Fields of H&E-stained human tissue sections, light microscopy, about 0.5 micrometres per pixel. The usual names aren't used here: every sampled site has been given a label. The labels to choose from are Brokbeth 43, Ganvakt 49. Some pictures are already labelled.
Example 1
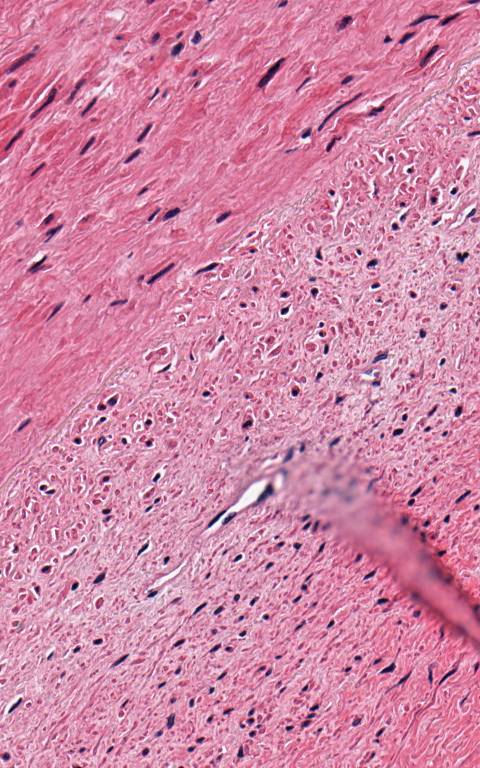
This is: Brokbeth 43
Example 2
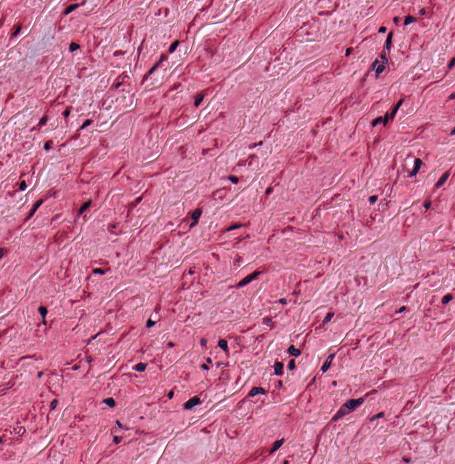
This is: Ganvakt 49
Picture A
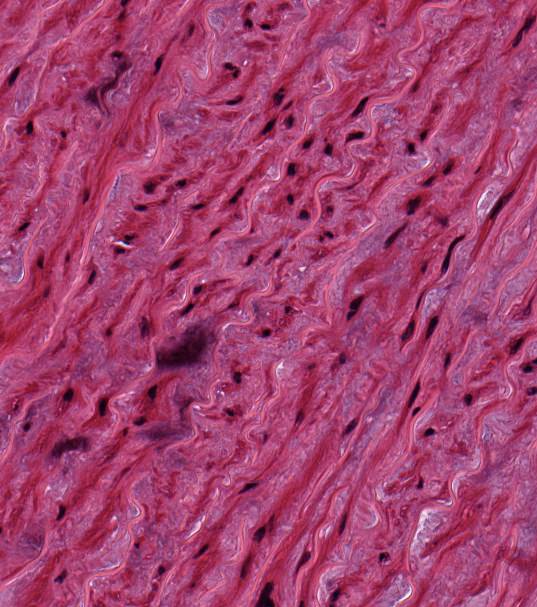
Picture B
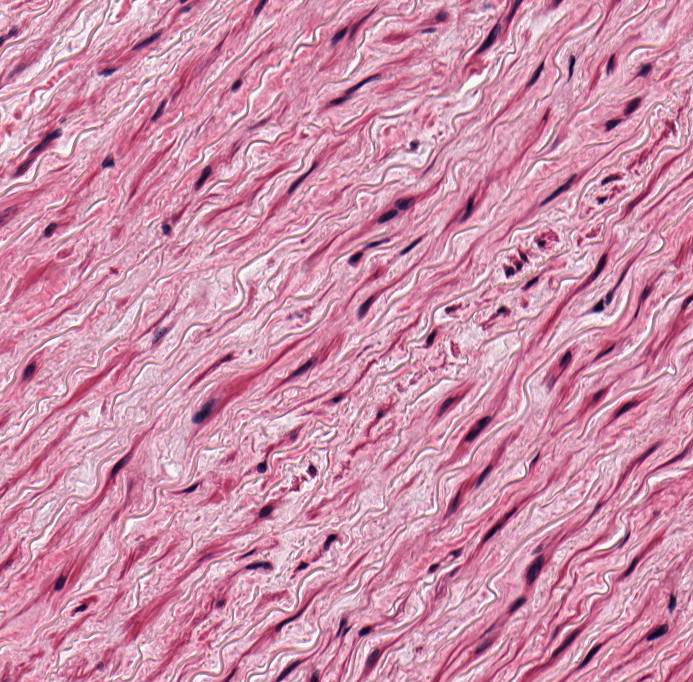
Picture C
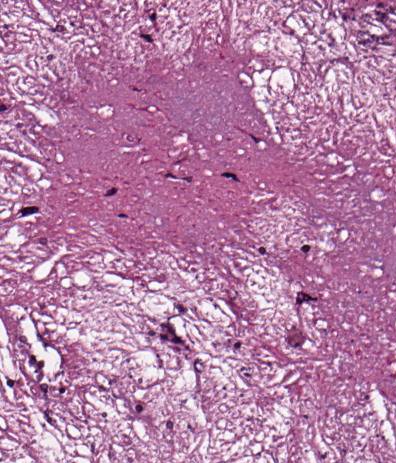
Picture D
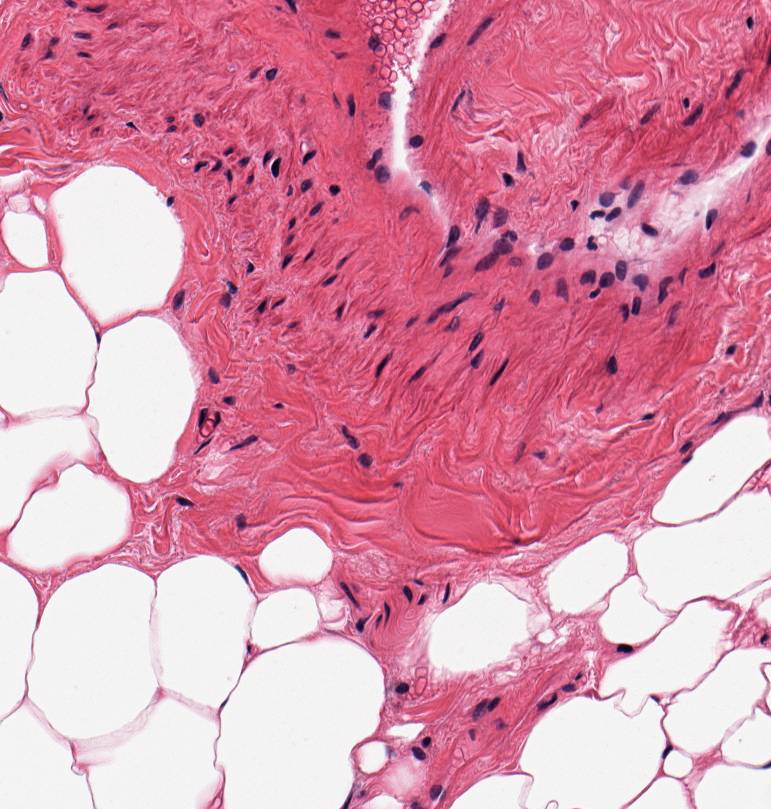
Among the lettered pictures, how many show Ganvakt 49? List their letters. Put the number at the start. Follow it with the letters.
Count: 2 (A, B)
